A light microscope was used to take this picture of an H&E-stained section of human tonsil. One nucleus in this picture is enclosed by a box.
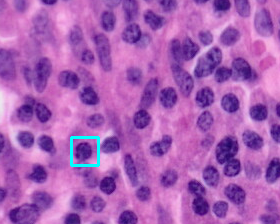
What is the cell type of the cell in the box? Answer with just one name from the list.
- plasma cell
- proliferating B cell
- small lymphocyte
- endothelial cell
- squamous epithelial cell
plasma cell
